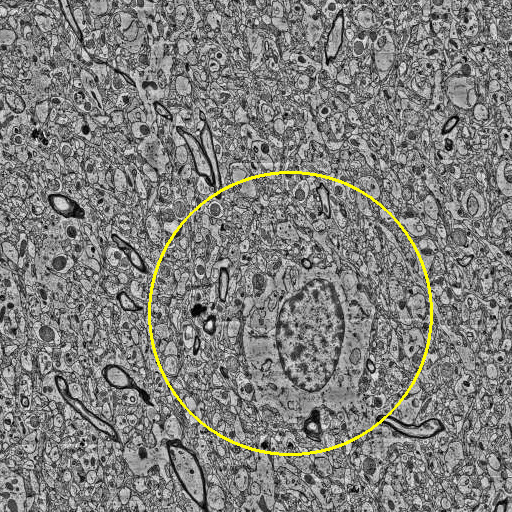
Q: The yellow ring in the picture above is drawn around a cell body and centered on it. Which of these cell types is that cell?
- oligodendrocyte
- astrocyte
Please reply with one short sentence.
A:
The cell body at the ring's center belongs to an astrocyte.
